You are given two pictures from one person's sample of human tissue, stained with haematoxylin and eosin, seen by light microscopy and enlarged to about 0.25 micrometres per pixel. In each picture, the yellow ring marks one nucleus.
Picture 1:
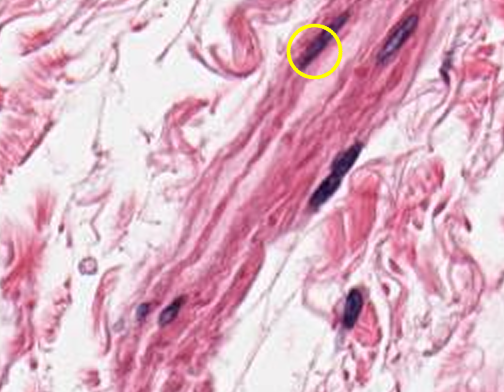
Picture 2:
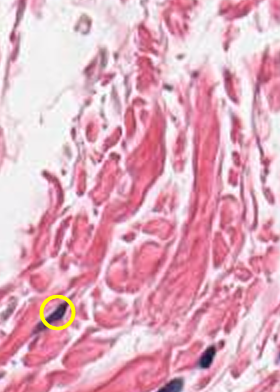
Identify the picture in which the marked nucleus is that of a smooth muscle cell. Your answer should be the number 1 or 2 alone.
1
